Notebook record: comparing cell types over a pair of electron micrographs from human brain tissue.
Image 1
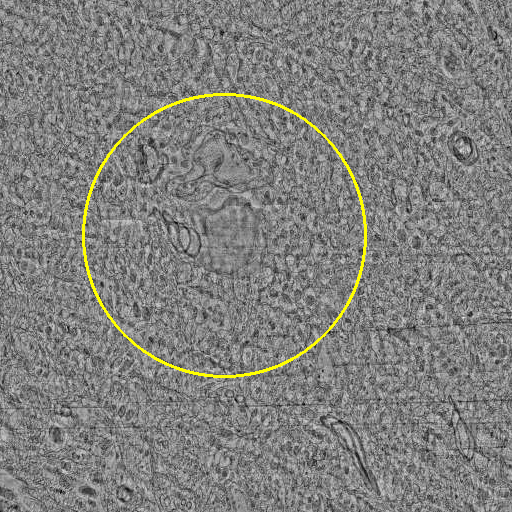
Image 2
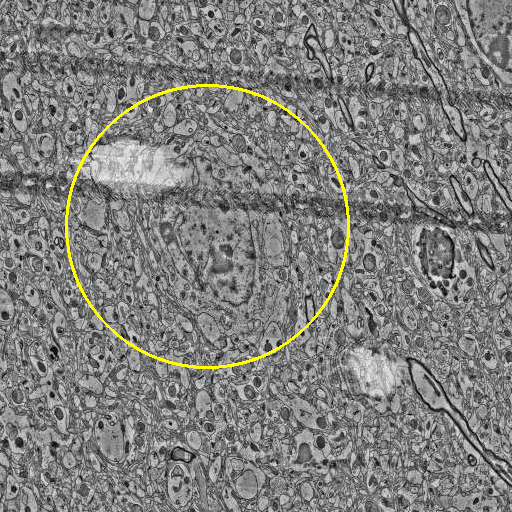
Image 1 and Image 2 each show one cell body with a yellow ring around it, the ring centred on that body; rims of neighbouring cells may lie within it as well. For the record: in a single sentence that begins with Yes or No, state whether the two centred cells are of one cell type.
No, two cell types are found among the centred cells of Image 1 and Image 2.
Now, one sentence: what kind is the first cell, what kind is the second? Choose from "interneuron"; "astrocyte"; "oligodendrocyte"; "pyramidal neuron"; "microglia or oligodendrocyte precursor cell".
The first picture has an oligodendrocyte at its ring centre, and the second has an interneuron.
